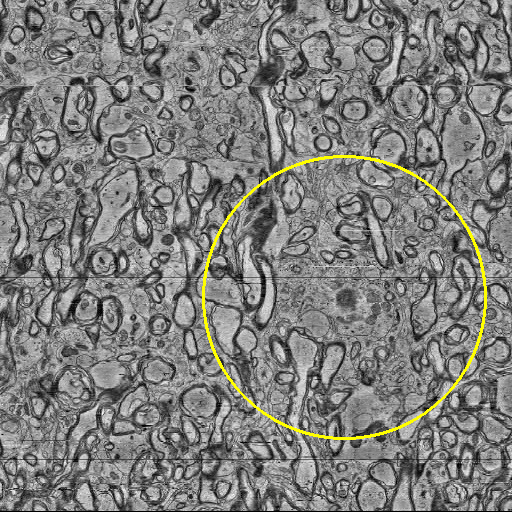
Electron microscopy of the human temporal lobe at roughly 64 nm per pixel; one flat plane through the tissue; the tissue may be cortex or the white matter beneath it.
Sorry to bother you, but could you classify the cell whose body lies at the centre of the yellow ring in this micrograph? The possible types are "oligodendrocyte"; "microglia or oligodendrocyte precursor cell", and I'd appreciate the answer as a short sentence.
The ringed cell body is that of a microglial cell or oligodendrocyte precursor cell.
